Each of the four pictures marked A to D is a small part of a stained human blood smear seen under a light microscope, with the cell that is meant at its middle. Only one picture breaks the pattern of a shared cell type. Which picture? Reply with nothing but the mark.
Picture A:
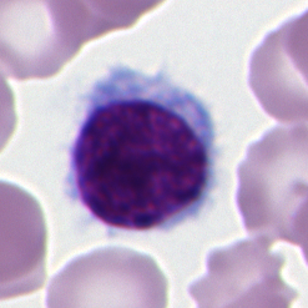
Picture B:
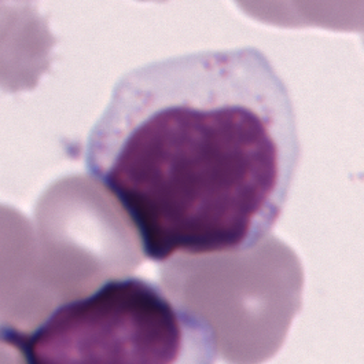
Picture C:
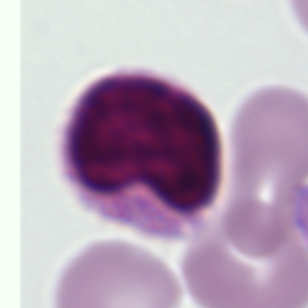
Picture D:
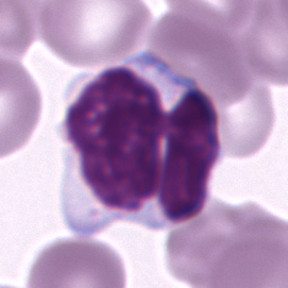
A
